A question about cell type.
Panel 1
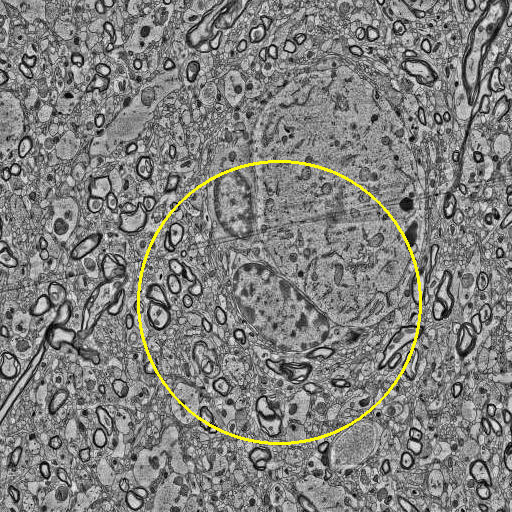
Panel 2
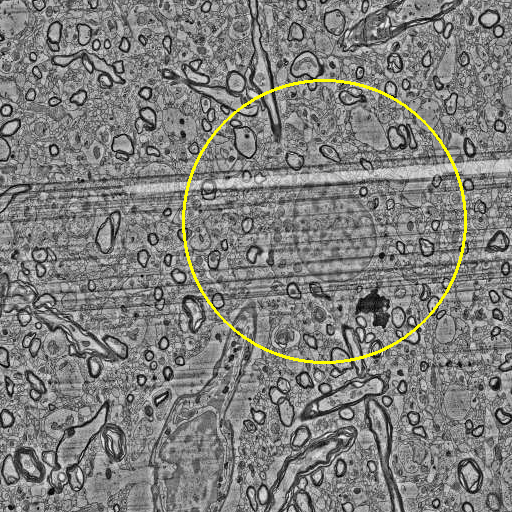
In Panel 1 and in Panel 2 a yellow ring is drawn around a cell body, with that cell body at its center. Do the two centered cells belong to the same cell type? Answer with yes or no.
no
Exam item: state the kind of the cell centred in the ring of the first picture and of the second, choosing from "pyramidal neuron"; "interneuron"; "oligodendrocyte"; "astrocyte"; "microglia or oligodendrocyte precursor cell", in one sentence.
The first picture shows a microglial cell or oligodendrocyte precursor cell at the ring centre and the second shows an oligodendrocyte.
